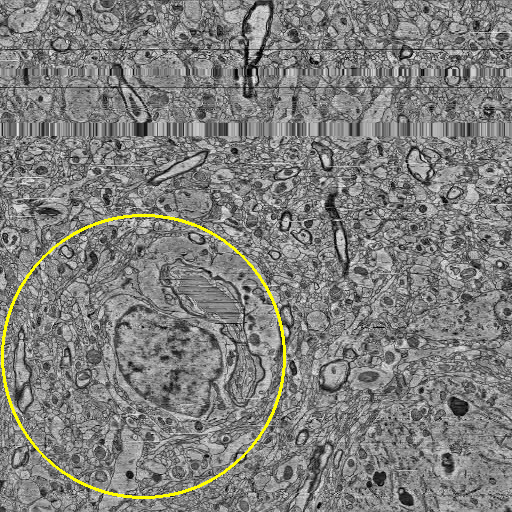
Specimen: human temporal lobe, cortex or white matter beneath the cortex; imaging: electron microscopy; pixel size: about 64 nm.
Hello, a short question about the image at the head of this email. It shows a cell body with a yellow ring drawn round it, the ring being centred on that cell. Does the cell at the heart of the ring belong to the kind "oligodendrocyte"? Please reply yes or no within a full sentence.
No, the cell at the heart of the ring in that image is of a different kind.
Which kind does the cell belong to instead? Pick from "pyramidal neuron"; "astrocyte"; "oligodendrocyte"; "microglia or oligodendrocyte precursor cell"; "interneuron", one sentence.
It is a microglial cell or oligodendrocyte precursor cell that the ring is centred on.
